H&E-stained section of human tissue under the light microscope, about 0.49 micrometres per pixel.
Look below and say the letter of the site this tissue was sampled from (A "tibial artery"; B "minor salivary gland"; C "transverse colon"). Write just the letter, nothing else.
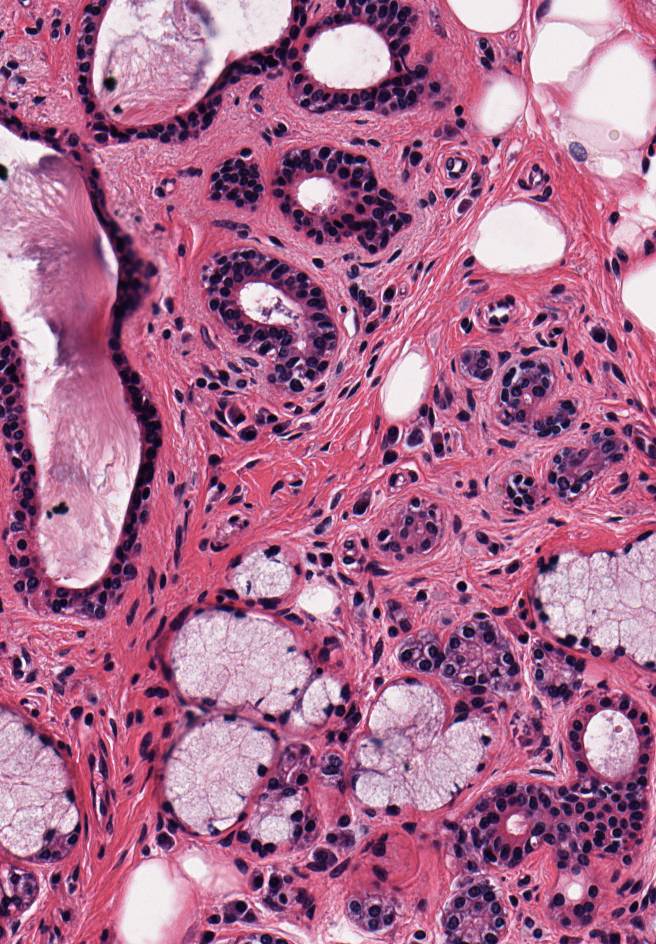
B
